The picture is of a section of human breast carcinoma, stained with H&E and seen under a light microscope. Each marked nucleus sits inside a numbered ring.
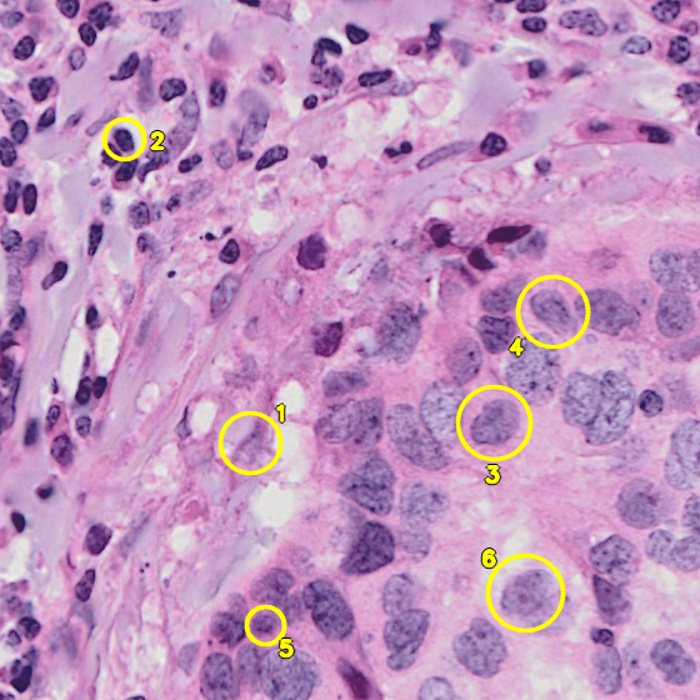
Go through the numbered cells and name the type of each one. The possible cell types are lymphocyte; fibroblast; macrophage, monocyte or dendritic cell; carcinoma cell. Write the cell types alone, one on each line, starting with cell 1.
fibroblast
lymphocyte
carcinoma cell
carcinoma cell
carcinoma cell
carcinoma cell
